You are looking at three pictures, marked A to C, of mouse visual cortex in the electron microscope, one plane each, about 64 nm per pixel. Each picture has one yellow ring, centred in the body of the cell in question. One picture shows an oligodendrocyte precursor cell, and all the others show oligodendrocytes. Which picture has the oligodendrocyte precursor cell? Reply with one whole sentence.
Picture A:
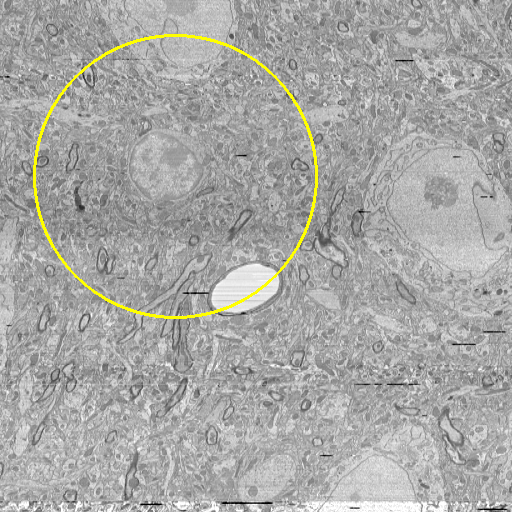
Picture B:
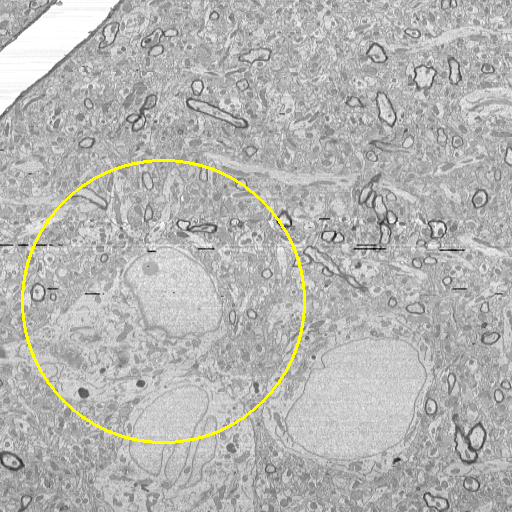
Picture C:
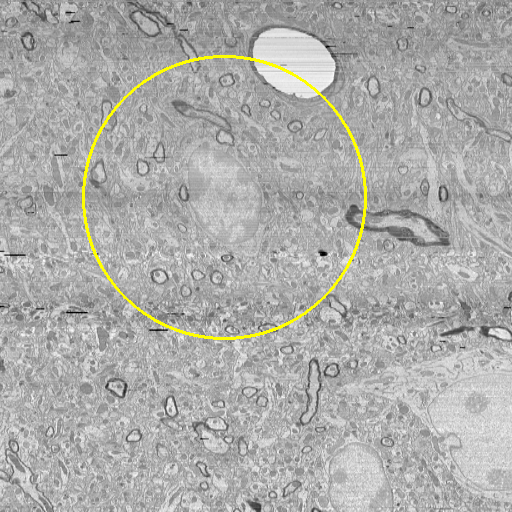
The picture with the oligodendrocyte precursor cell is B.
